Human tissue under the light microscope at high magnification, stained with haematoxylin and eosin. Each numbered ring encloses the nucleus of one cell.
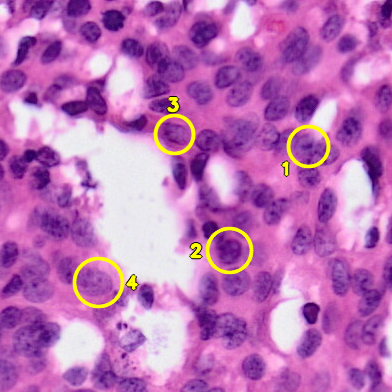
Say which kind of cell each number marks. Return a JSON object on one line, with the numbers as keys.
{"1": "carcinoma cell", "2": "carcinoma cell", "3": "endothelial cell", "4": "carcinoma cell"}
